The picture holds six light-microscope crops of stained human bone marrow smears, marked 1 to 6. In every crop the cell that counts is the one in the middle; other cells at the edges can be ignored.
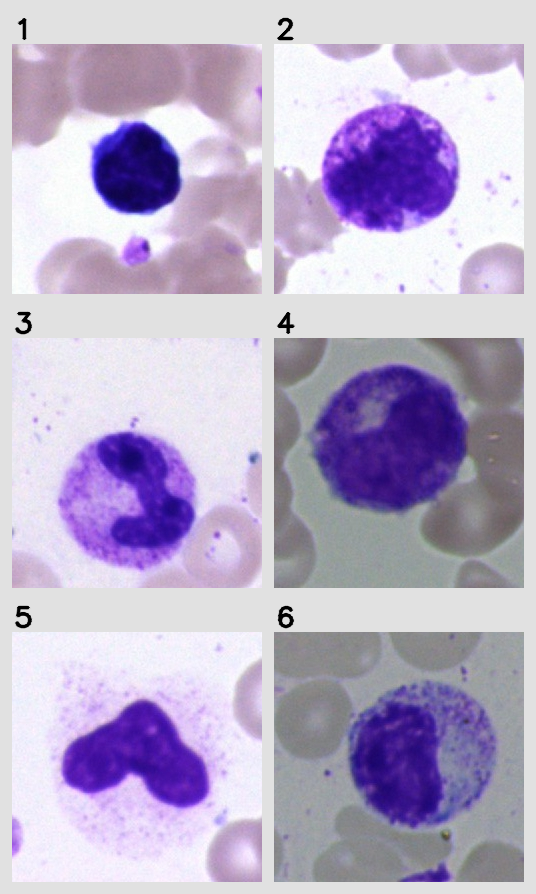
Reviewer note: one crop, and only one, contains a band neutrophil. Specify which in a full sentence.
The one that shows a band neutrophil is crop 5.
